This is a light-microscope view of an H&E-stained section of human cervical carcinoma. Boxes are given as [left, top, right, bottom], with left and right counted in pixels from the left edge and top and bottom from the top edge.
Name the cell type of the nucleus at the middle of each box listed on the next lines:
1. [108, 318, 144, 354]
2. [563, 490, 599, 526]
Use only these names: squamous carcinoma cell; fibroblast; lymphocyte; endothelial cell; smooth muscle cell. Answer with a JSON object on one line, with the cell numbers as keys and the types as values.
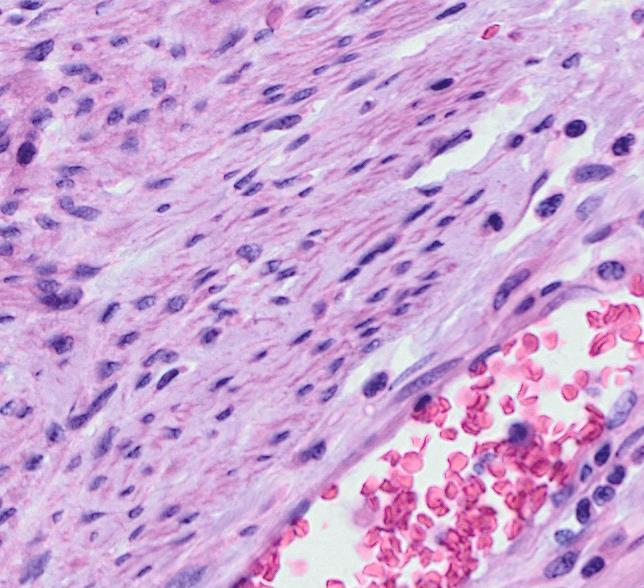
{"1": "smooth muscle cell", "2": "lymphocyte"}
